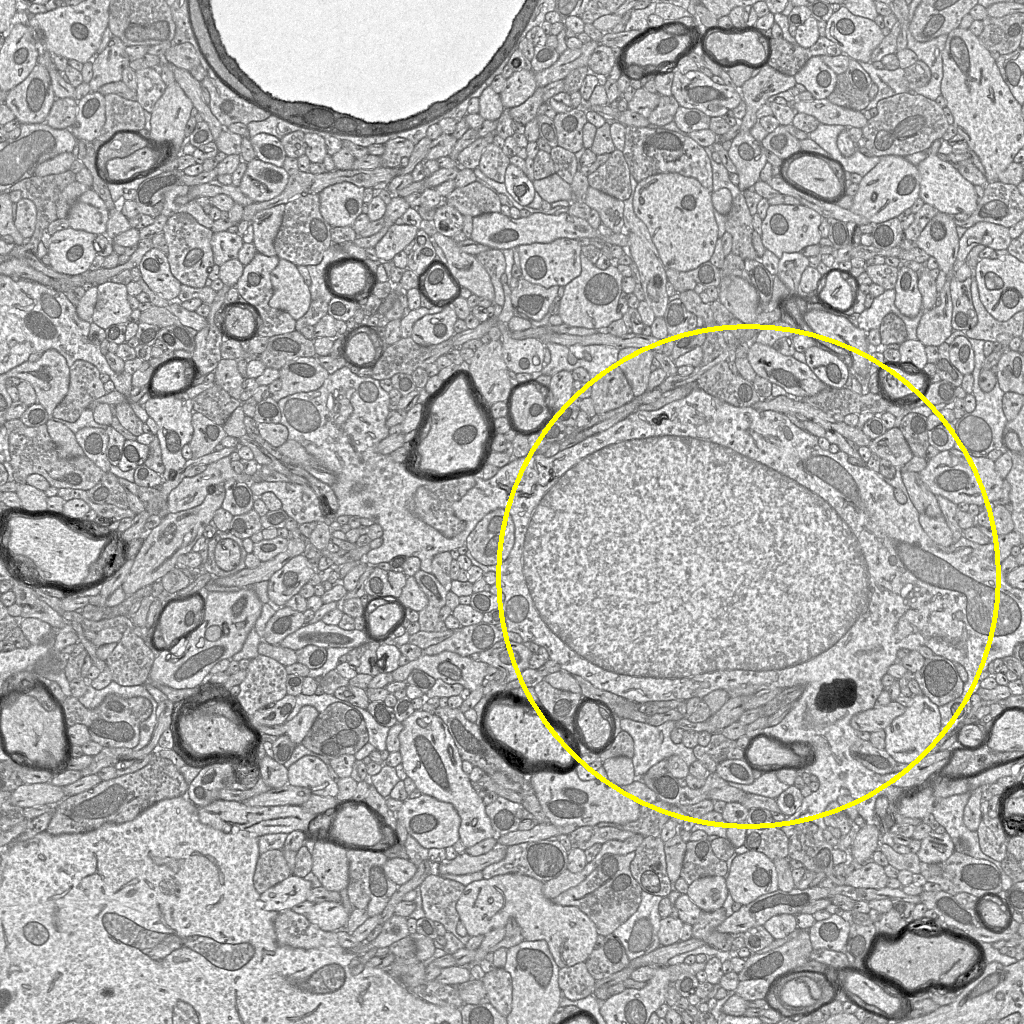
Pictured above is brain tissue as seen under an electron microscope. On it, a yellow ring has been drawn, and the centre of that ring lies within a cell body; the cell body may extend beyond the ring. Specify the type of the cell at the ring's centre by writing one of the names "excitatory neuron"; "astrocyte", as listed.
astrocyte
